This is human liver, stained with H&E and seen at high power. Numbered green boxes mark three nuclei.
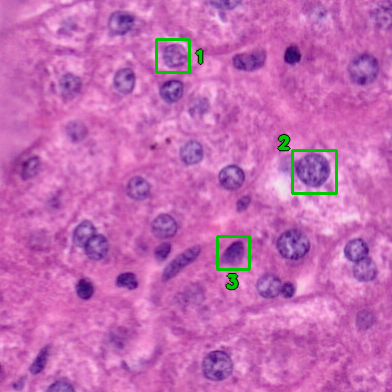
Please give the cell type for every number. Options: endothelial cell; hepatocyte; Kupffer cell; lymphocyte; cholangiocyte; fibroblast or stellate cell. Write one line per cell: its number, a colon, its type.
1: hepatocyte
2: hepatocyte
3: fibroblast or stellate cell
